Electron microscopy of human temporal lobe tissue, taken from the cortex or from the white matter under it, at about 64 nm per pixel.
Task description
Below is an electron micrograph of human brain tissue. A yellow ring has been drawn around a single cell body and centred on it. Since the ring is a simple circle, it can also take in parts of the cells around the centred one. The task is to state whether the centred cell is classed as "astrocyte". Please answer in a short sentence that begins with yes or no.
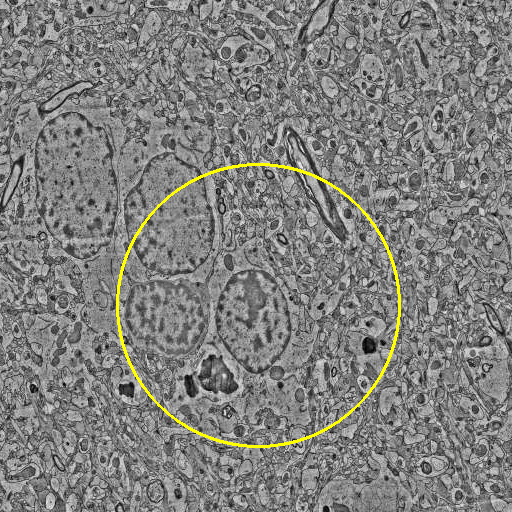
Yes, the centred cell is classed that way.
